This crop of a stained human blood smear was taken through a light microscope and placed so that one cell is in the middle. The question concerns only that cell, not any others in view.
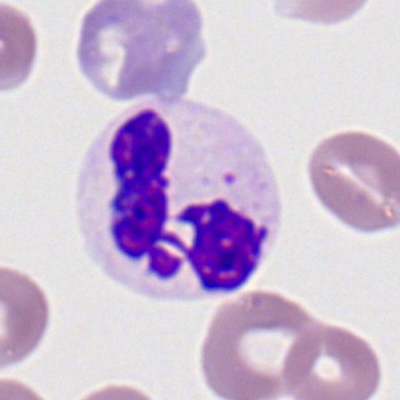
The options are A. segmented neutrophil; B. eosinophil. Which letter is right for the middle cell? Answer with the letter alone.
A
